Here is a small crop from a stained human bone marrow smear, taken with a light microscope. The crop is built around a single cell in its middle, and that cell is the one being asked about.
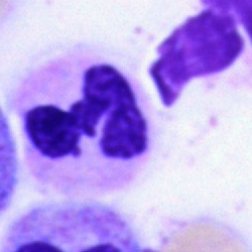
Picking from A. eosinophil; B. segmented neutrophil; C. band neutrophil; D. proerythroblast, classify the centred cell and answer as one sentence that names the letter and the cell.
The cell in the middle is correctly identified as a segmented neutrophil in option B.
